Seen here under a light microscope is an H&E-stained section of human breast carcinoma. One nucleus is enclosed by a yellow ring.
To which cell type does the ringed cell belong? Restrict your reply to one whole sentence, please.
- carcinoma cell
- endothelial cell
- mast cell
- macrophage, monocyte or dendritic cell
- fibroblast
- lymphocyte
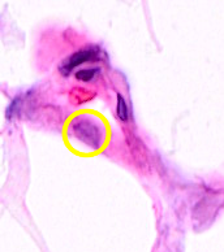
For the purposes of cell typing, the ringed cell is categorized as an endothelial cell.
